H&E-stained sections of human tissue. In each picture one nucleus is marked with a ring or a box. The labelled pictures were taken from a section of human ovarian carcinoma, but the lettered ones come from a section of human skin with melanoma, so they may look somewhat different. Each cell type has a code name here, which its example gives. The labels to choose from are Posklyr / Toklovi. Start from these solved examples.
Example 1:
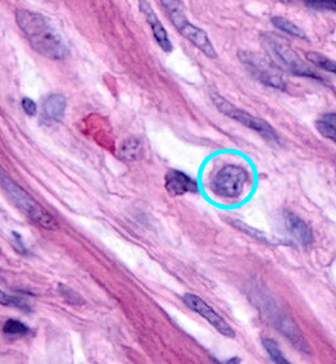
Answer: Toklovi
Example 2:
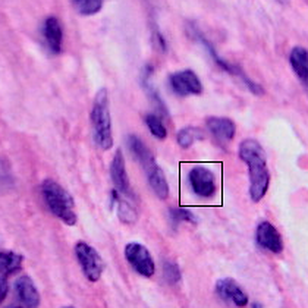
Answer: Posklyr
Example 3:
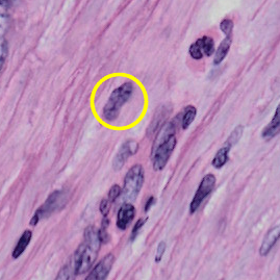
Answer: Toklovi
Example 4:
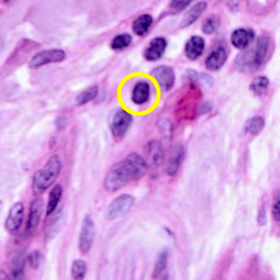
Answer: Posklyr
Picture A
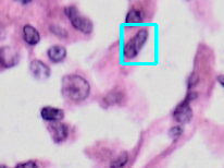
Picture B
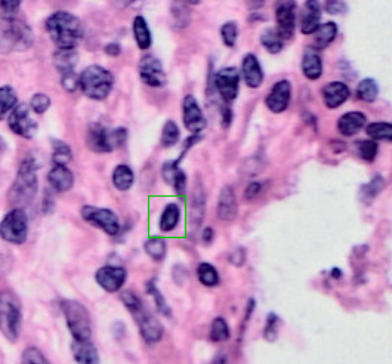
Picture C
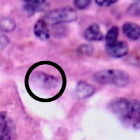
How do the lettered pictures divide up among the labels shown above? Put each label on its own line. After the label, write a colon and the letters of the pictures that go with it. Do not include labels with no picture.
Posklyr: B
Toklovi: A, C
